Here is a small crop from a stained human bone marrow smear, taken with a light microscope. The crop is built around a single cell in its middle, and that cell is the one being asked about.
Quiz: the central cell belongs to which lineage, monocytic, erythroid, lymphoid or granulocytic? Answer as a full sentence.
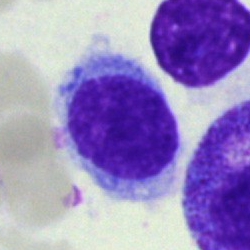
The centered cell is one of the lymphoid lineage.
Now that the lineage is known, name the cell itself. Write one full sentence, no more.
In the center of this field lies a hairy cell.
